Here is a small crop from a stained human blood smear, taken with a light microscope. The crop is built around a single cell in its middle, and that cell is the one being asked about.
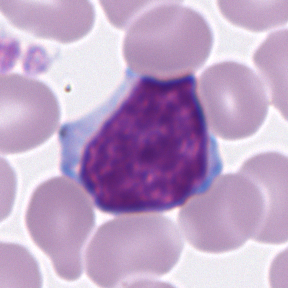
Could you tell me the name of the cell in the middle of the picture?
typical lymphocyte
